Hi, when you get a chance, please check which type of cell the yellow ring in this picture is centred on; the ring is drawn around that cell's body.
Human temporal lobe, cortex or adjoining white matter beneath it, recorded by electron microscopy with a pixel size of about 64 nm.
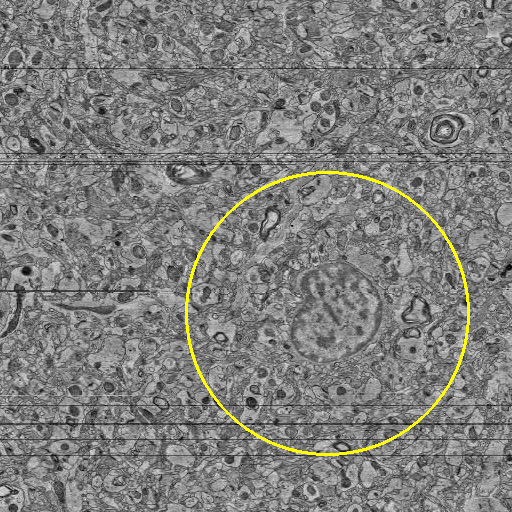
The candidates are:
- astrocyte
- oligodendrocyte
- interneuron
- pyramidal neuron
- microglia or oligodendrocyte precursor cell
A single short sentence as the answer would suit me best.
The ring is drawn around the body of an oligodendrocyte.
